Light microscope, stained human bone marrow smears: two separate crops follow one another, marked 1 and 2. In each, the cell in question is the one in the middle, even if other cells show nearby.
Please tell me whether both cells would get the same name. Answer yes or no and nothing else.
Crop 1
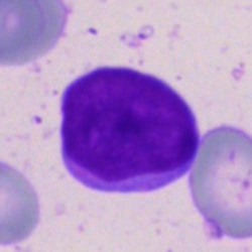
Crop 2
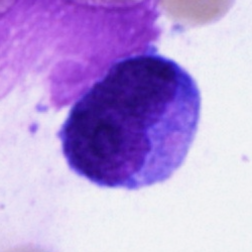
yes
